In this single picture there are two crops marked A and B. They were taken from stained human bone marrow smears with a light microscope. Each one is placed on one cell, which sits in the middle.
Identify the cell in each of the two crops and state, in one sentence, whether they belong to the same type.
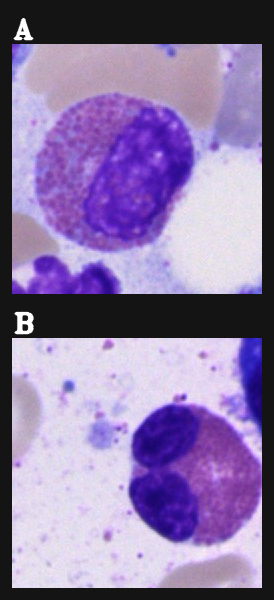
Yes, eosinophils are the central cells in the two crops.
